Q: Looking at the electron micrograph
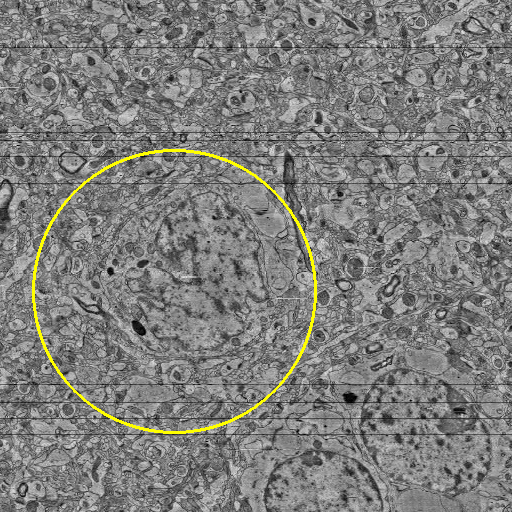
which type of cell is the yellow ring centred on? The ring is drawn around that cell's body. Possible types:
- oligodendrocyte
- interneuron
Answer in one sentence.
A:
The yellow ring is centred on an interneuron.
